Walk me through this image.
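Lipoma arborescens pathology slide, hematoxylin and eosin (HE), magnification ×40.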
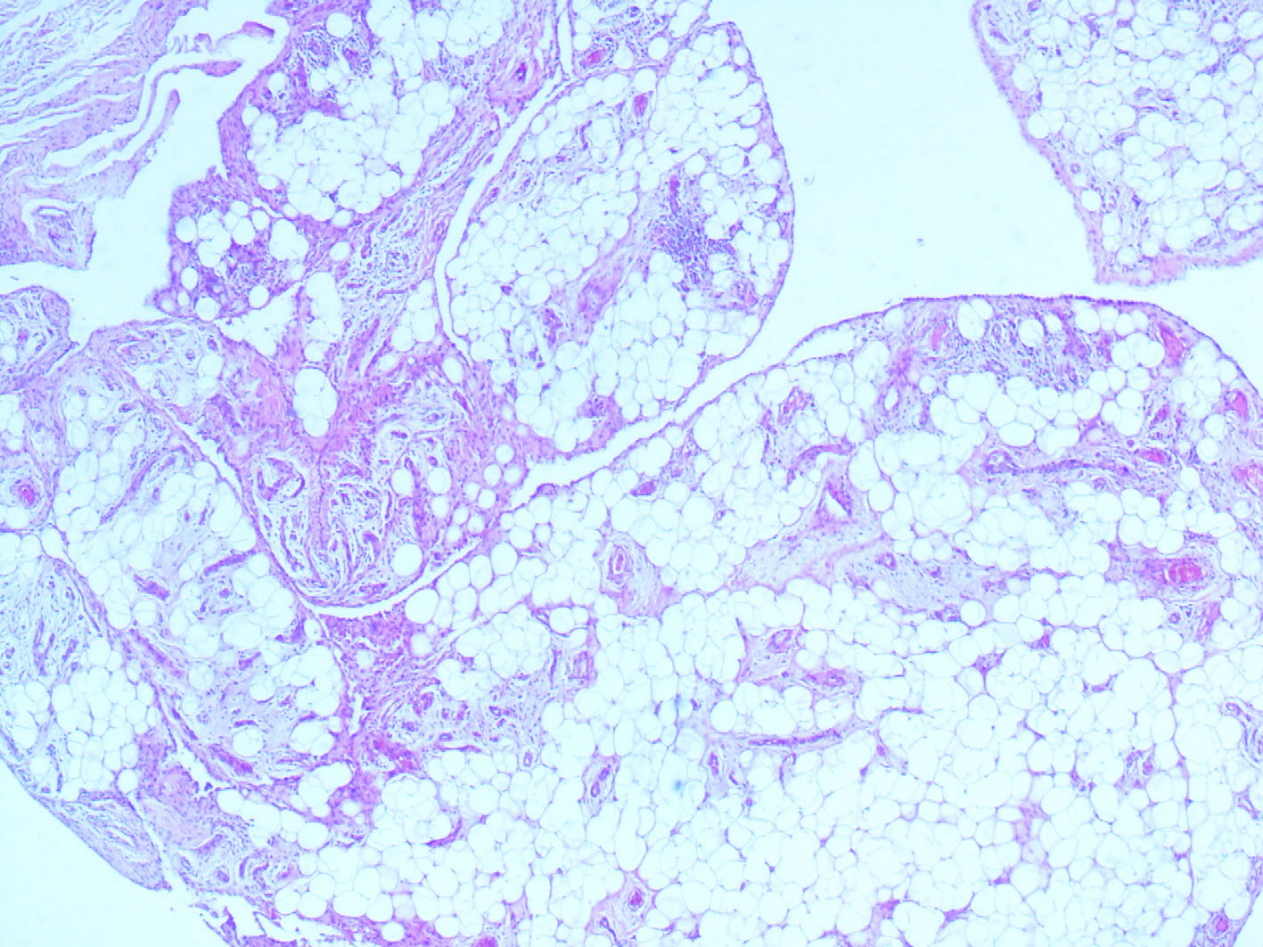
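This low-power view shows enlarged synovial villi packed with mature adipocytes. The villi form rounded, frond-like projections separated by narrow clear clefts, each edged by a thin pink surface lining. Within them, large clear adipocytes with thin pink walls make up most of the tissue. Between the fat cells lie pink fibrous connective tissue strands and small blood vessels, with a few darker, cell-rich foci. The amount of fat varies from frond to frond: some are almost wholly fatty, while others keep more fibrous pink stroma.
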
